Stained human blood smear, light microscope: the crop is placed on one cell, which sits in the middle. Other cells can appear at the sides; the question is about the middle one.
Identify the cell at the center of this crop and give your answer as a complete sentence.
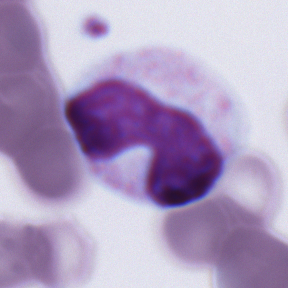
Positioned in the middle of the crop is a band neutrophil.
